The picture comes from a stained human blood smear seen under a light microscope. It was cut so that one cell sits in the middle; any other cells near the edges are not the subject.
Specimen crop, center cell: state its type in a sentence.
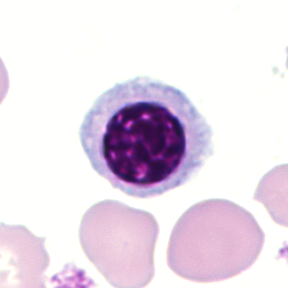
Where the crop is centred, there is a normoblast.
